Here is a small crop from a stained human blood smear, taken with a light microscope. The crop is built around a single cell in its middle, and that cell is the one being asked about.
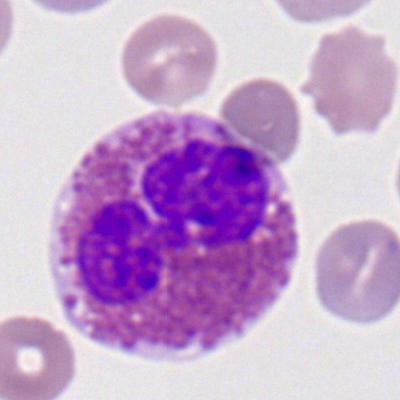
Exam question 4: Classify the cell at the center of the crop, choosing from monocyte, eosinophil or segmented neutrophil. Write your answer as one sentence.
By classification, the middle cell of this crop is an eosinophil.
